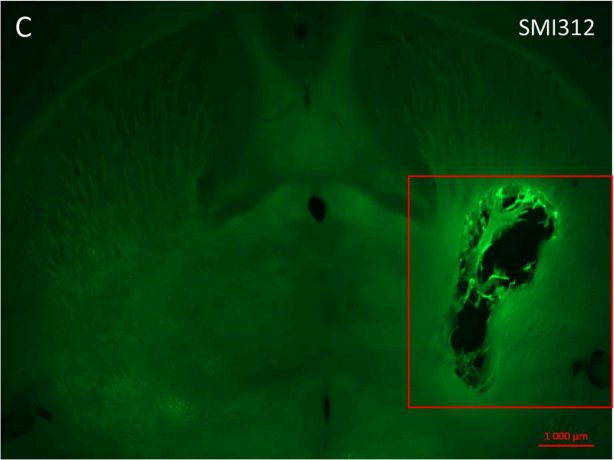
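On one side lies an elongated dark hole, a lesion, whose rim is lined by brightly stained, torn fibres. The rest of the section shows no such cavity.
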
